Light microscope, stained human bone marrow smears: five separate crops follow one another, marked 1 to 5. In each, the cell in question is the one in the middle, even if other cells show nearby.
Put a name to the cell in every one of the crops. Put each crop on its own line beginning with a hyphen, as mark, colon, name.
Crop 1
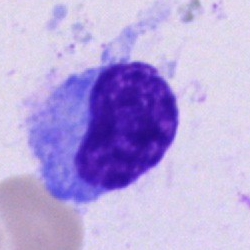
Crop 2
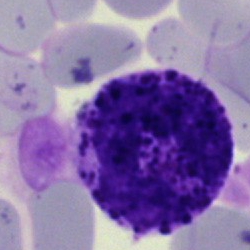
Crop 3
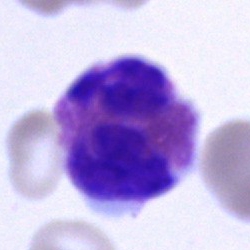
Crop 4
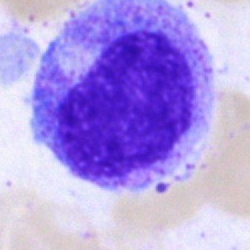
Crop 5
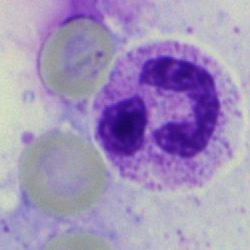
- 1: plasma cell
- 2: basophil
- 3: eosinophil
- 4: myelocyte
- 5: segmented neutrophil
